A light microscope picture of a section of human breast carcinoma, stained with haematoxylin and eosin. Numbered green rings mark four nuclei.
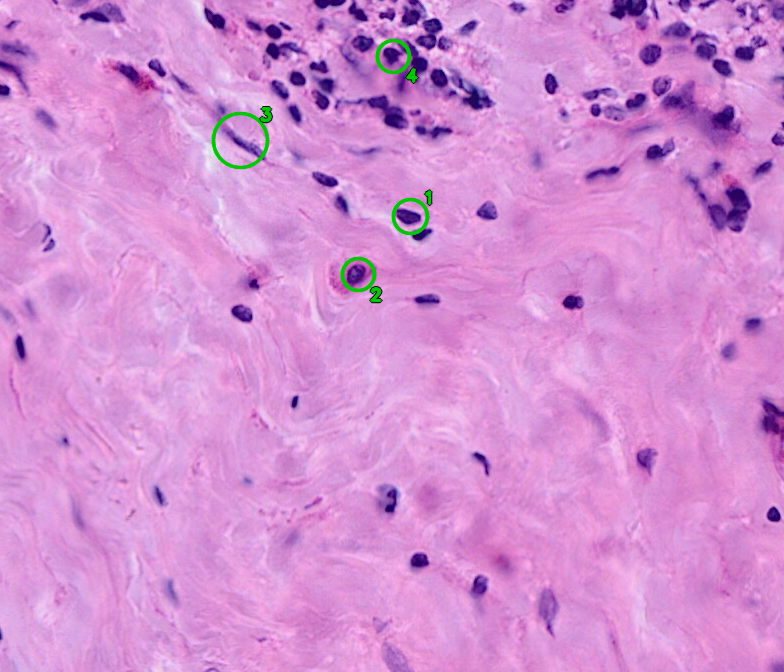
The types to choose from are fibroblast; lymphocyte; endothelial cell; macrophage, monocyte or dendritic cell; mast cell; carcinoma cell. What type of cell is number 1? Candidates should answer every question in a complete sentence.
The nucleus marked 1 is the nucleus of a lymphocyte.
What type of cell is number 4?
The cell given label 4 is a lymphocyte.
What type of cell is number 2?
Heads up, the cell numbered 2 is a mast cell.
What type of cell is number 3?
Denoted by the label 3 in the section is a fibroblast.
